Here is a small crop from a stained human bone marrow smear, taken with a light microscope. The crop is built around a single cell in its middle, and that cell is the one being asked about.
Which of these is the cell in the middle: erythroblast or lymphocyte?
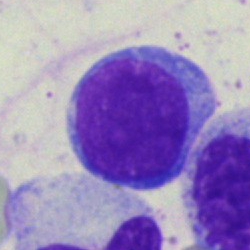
lymphocyte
